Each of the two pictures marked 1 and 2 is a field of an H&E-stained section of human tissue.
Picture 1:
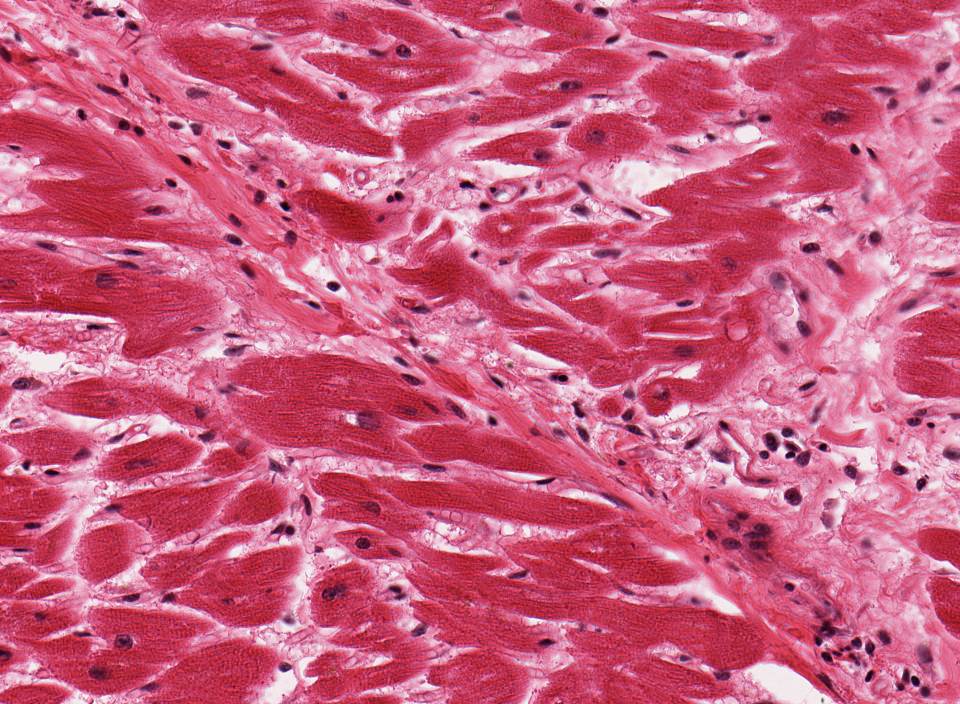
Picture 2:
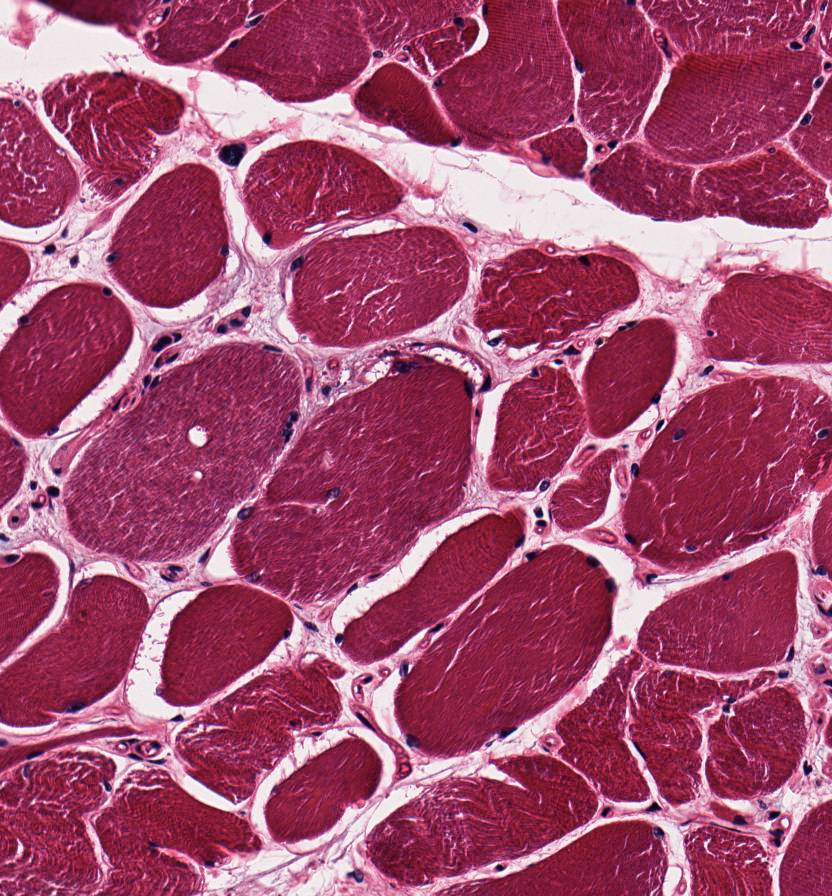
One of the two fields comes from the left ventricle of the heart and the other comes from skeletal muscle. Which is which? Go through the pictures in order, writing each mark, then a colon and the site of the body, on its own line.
1: left ventricle of the heart
2: skeletal muscle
